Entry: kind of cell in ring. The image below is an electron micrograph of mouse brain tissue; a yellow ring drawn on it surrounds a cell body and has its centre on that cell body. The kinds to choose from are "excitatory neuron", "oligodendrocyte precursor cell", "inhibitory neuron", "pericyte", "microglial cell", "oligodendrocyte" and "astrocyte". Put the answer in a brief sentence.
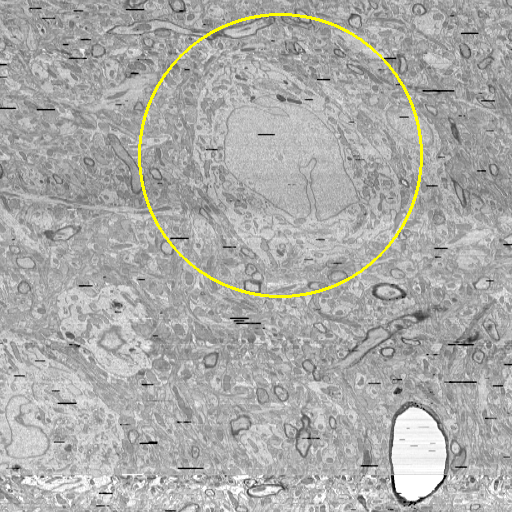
The ring has been drawn around an inhibitory neuron.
